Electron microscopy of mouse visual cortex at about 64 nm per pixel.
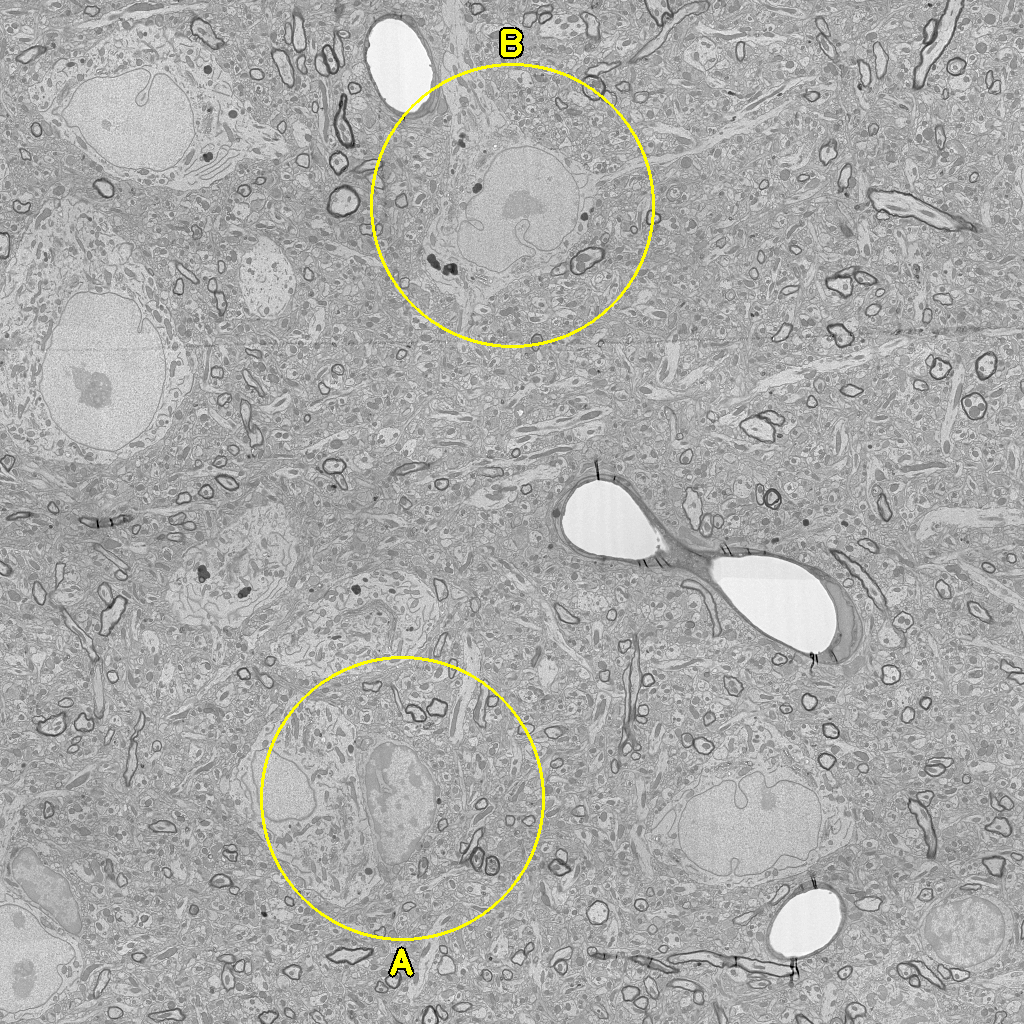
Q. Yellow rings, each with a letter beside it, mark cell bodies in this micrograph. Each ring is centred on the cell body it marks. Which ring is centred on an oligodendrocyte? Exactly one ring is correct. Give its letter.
A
